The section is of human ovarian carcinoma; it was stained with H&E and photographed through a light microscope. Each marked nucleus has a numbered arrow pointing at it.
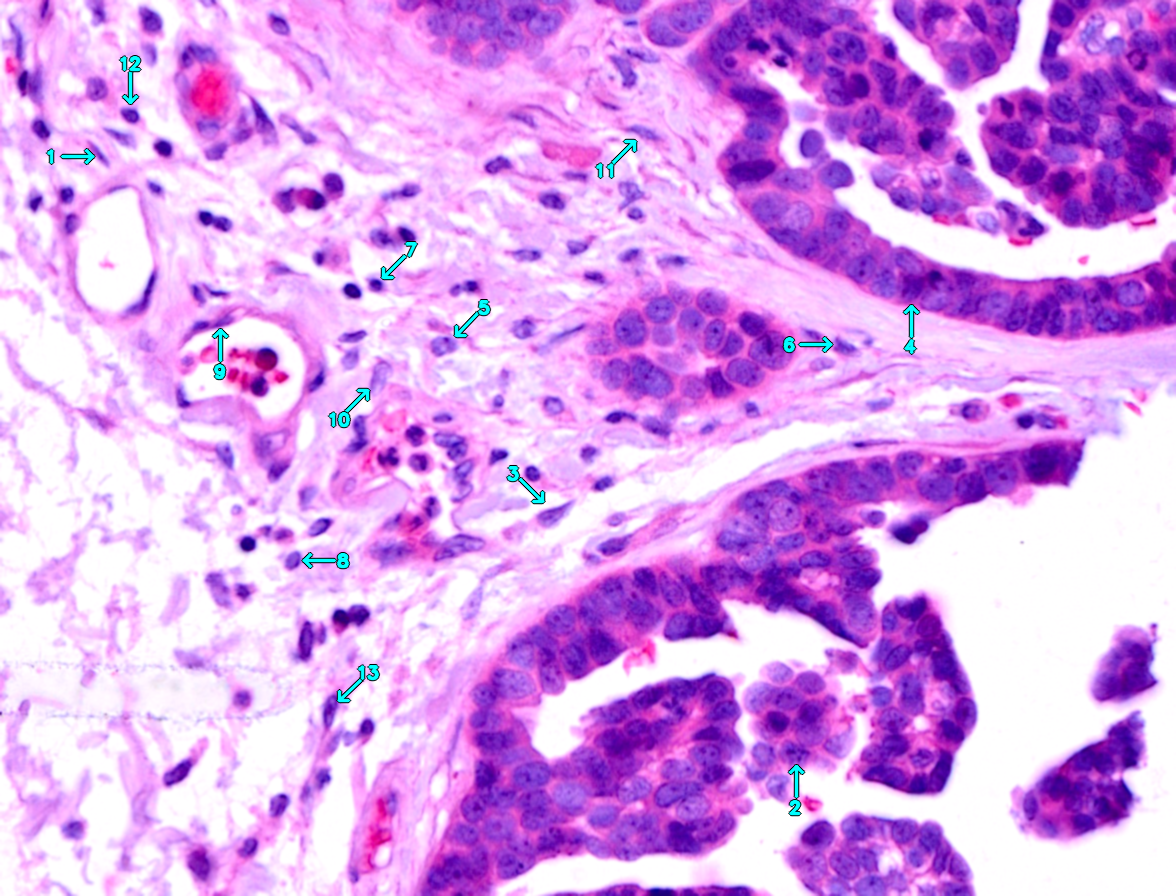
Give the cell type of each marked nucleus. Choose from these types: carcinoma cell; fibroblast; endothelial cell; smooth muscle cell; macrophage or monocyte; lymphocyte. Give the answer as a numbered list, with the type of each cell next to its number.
1. fibroblast
2. carcinoma cell
3. fibroblast
4. carcinoma cell
5. fibroblast
6. fibroblast
7. lymphocyte
8. lymphocyte
9. endothelial cell
10. fibroblast
11. fibroblast
12. lymphocyte
13. fibroblast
